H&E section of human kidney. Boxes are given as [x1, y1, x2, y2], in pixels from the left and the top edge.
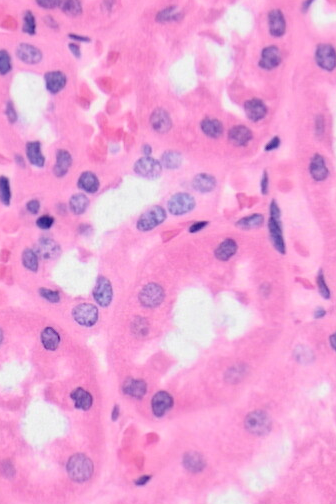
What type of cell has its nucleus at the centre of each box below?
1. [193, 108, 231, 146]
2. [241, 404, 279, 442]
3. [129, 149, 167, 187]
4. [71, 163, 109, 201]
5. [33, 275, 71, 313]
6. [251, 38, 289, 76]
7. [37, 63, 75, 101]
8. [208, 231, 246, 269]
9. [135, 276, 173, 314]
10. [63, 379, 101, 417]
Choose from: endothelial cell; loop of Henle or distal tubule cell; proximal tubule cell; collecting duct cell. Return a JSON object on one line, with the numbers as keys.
{"1": "proximal tubule cell", "2": "proximal tubule cell", "3": "collecting duct cell", "4": "collecting duct cell", "5": "collecting duct cell", "6": "proximal tubule cell", "7": "loop of Henle or distal tubule cell", "8": "proximal tubule cell", "9": "proximal tubule cell", "10": "proximal tubule cell"}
